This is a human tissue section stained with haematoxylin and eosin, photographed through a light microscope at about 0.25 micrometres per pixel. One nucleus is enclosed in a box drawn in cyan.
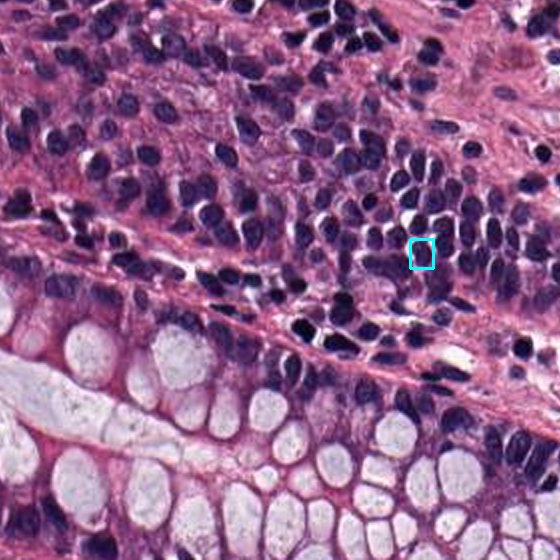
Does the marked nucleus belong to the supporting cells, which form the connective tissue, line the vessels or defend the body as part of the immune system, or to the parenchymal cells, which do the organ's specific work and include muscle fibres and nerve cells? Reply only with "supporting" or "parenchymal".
supporting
